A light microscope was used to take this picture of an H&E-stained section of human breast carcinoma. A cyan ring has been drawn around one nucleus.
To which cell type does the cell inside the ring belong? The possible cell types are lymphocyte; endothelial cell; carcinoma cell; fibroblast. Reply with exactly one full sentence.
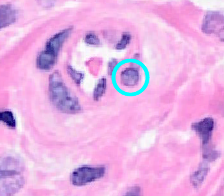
It is as an endothelial cell that the cell inside the ring is classified.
